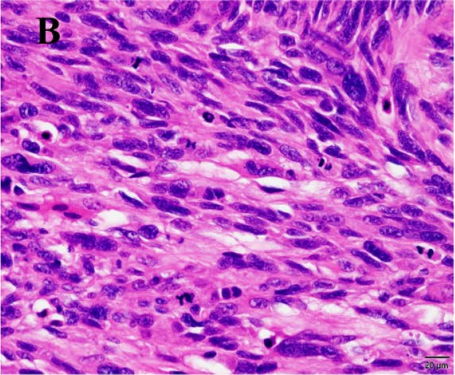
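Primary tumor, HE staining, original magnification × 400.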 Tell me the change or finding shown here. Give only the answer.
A: nuclear pleomorphism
